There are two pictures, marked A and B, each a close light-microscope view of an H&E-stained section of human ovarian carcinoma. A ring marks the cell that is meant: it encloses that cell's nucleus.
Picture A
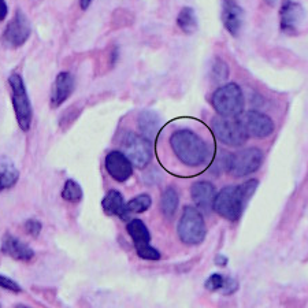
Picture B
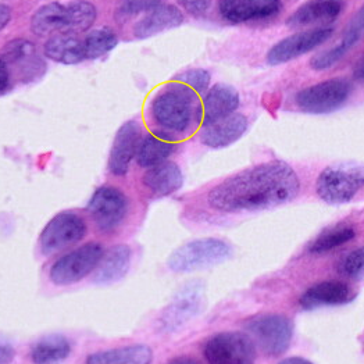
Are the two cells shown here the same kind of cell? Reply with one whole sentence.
Yes, both are carcinoma cells.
